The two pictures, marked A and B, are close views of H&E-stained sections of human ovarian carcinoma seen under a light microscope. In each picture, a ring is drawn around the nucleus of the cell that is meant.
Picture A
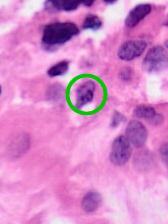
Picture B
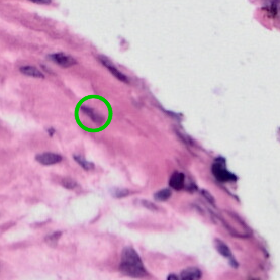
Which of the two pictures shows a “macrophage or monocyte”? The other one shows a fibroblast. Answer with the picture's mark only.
A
